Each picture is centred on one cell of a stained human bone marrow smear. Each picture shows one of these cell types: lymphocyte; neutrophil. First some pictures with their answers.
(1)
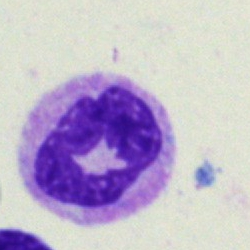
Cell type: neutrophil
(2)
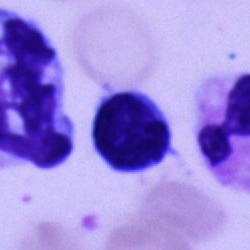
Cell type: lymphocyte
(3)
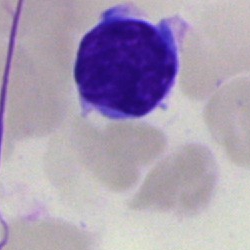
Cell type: lymphocyte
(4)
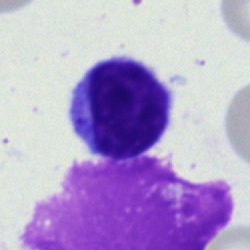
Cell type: lymphocyte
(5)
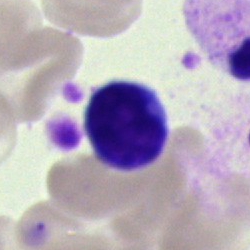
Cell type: lymphocyte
